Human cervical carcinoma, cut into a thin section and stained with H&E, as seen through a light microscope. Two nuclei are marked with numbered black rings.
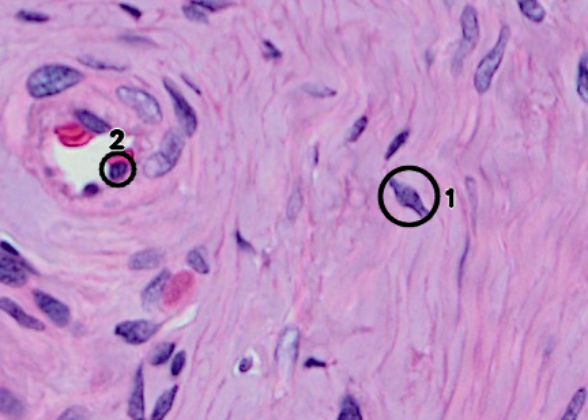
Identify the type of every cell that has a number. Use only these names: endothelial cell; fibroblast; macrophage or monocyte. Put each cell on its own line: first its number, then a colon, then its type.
1: fibroblast
2: endothelial cell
